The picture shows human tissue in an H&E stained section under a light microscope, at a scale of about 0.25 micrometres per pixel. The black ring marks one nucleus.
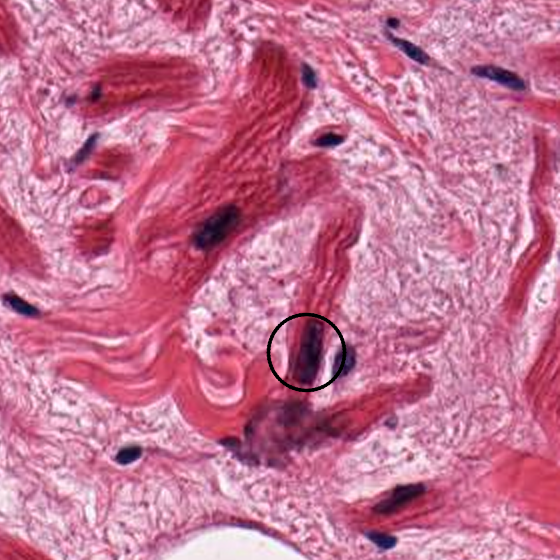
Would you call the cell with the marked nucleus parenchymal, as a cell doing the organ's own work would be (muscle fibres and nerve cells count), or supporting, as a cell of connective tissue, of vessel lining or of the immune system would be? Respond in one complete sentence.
It is to a cardiomyocyte, a parenchymal cell, that the marked nucleus belongs.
